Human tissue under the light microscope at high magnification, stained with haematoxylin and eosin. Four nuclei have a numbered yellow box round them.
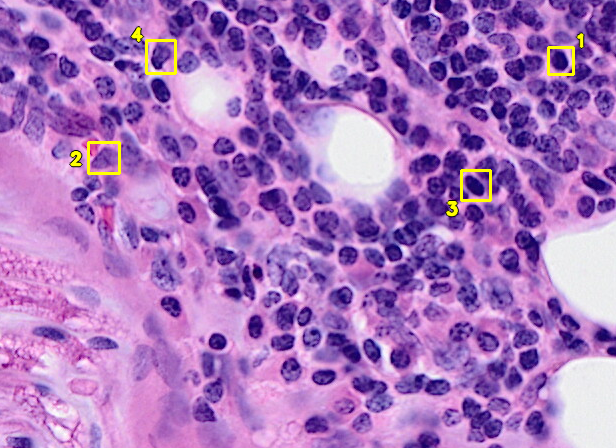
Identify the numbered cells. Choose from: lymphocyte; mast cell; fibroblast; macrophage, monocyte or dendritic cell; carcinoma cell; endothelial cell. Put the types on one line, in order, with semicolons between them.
lymphocyte; endothelial cell; lymphocyte; lymphocyte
